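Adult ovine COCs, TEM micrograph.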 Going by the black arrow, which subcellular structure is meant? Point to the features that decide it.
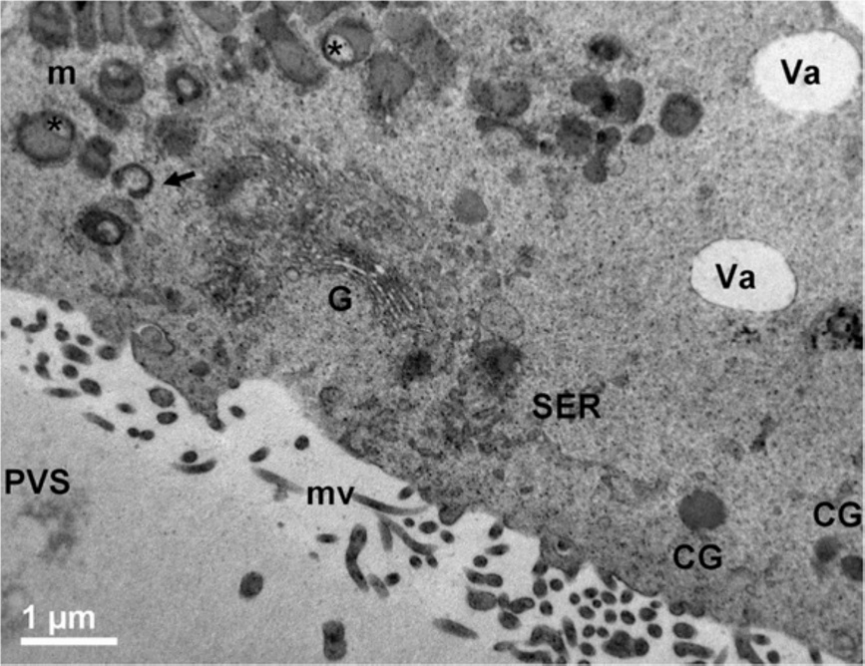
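The arrow points to a small round organelle with a dense rim curving partly around a paler centre. It lies among other round dense organelles of similar size in the upper left. On this evidence: a hooded mitochondrion.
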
